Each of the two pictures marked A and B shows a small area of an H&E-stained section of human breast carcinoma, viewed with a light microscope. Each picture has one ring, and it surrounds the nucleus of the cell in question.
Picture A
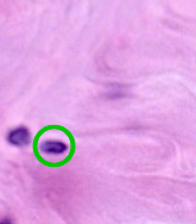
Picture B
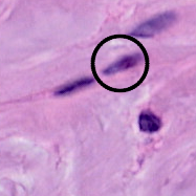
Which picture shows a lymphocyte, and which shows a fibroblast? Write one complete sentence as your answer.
Picture B shows a fibroblast, while picture A shows a lymphocyte.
